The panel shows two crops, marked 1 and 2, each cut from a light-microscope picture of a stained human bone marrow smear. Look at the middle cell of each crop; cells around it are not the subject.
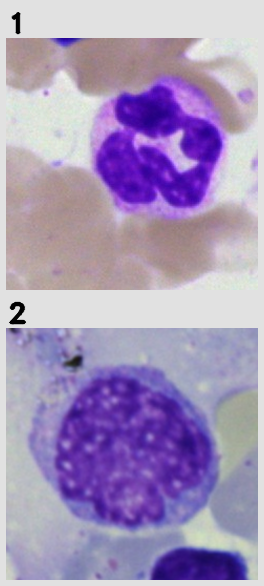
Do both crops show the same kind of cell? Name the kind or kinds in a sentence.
No, a segmented neutrophil is what occupies crop 1, and a monocyte is what occupies crop 2.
